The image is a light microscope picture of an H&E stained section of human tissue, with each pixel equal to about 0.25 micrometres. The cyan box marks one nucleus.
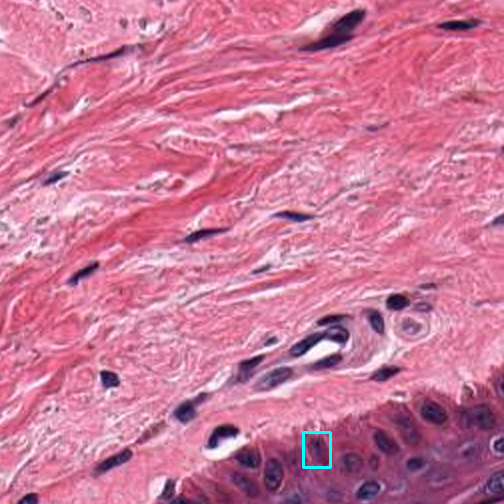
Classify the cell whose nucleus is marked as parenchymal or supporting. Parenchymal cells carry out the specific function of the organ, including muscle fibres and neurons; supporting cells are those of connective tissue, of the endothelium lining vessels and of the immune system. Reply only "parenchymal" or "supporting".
parenchymal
